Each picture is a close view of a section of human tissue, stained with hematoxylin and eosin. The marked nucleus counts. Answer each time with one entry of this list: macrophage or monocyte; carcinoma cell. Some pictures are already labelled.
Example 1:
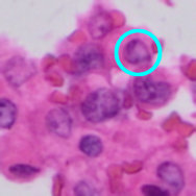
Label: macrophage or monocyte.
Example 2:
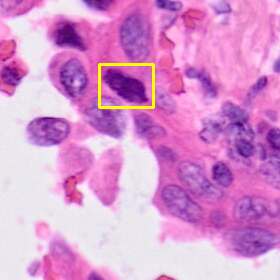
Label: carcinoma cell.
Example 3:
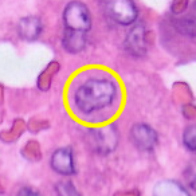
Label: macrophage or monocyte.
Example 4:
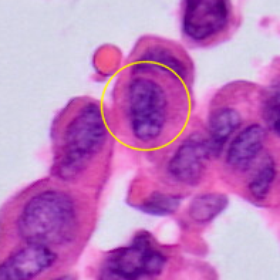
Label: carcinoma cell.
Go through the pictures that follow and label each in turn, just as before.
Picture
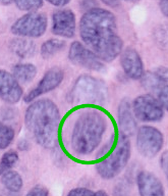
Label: carcinoma cell.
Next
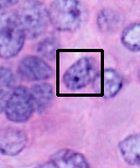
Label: macrophage or monocyte.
